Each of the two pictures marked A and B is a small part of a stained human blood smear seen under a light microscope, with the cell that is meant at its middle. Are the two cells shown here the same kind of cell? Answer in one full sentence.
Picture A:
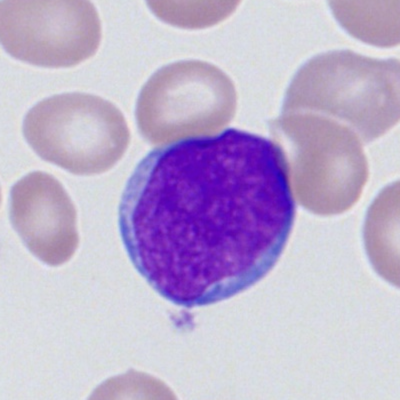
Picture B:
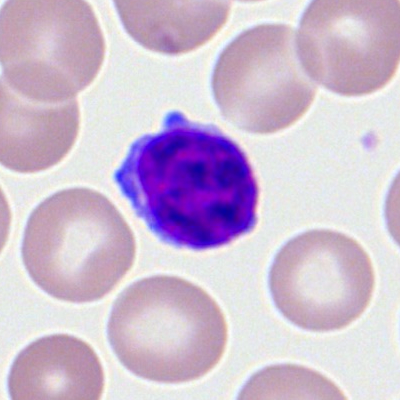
No, the types are not the same, since picture A shows a myeloblast and picture B a lymphocyte.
